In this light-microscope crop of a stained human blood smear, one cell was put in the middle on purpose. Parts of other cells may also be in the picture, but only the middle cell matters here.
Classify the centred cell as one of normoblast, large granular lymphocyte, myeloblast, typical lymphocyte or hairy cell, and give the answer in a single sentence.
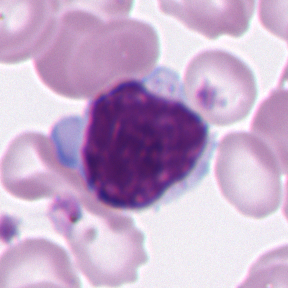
The cell occupying the middle of the crop is a typical lymphocyte.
